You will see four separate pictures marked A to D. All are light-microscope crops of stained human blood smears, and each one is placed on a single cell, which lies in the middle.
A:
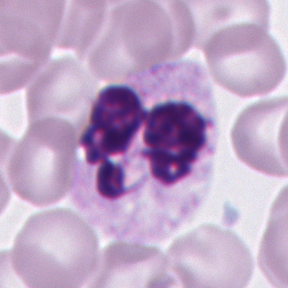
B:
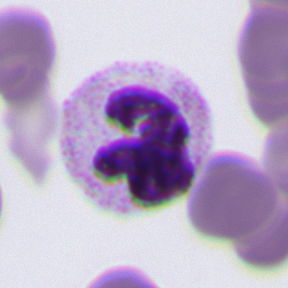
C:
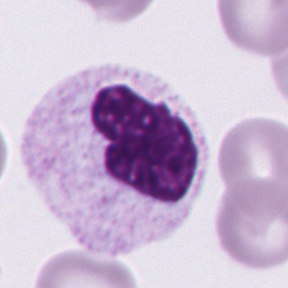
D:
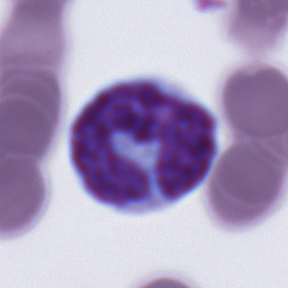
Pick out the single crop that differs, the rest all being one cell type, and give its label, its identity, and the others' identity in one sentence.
Crop D differs: it is a monocyte, and all the other crops show segmented neutrophils.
